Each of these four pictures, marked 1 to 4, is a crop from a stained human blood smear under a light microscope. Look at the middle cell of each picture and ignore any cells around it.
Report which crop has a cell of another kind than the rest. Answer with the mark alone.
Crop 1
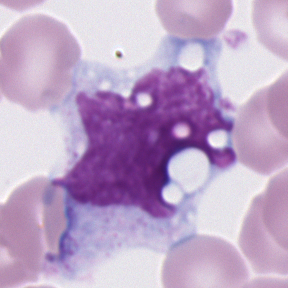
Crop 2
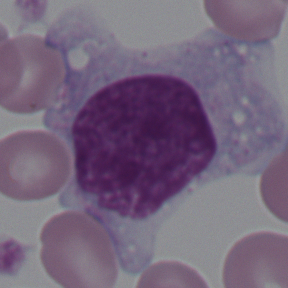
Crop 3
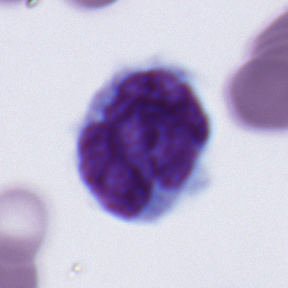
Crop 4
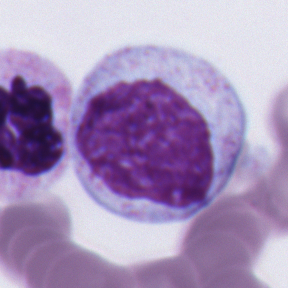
4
